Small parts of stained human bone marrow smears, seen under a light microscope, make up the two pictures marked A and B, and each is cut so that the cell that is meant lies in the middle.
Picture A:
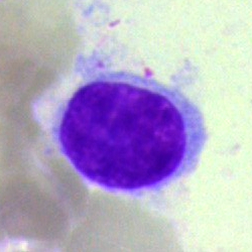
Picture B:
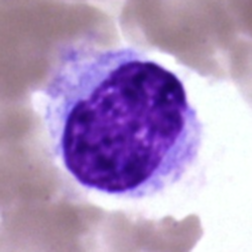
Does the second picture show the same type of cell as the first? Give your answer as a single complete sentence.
Yes, both are hairy cells.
